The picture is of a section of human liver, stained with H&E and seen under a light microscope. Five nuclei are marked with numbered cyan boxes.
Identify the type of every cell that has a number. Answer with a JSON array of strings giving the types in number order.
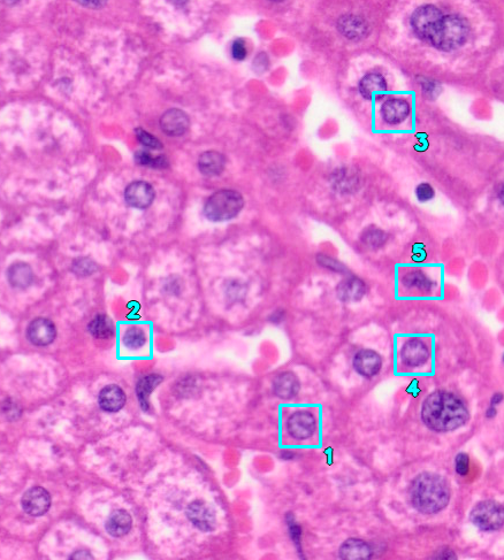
["hepatocyte", "lymphocyte", "hepatocyte", "hepatocyte", "endothelial cell"]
